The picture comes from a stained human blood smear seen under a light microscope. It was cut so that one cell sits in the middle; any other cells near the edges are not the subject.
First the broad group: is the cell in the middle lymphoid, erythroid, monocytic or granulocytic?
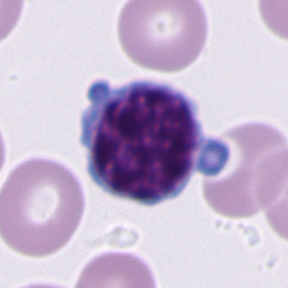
erythroid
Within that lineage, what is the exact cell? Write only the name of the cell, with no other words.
normoblast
